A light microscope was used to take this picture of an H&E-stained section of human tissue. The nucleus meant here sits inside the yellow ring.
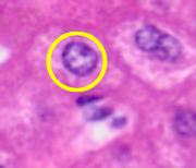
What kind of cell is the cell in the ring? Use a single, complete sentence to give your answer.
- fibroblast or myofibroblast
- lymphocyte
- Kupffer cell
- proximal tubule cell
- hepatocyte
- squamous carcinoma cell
In this tissue section, the cell in the ring is to be classed as a hepatocyte.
